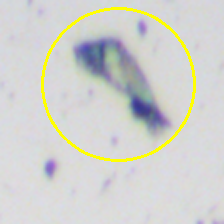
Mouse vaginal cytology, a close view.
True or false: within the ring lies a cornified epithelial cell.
True: a cornified epithelial cell lies within the ring.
